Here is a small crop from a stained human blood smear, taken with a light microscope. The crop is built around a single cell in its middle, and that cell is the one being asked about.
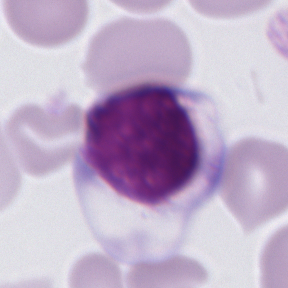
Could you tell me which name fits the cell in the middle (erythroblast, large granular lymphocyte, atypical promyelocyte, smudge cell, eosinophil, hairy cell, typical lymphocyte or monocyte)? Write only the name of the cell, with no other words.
large granular lymphocyte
